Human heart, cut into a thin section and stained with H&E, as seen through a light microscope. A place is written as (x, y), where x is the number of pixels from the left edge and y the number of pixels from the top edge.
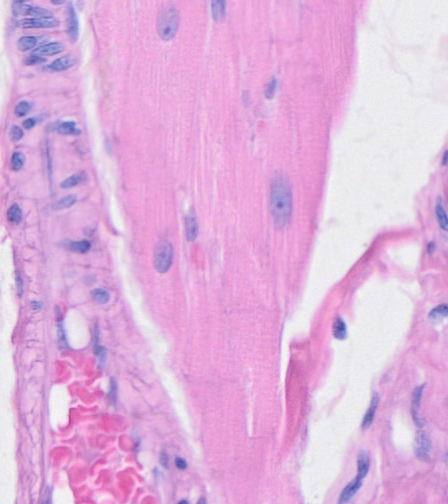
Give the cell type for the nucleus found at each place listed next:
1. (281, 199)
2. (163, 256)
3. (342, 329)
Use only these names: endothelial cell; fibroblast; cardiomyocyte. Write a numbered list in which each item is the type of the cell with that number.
1. cardiomyocyte
2. cardiomyocyte
3. fibroblast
